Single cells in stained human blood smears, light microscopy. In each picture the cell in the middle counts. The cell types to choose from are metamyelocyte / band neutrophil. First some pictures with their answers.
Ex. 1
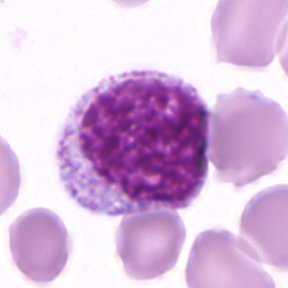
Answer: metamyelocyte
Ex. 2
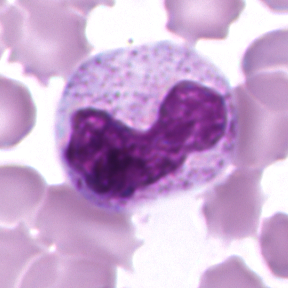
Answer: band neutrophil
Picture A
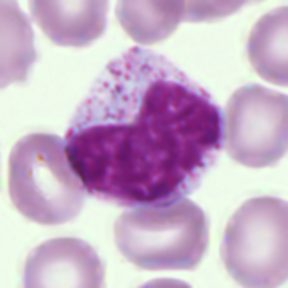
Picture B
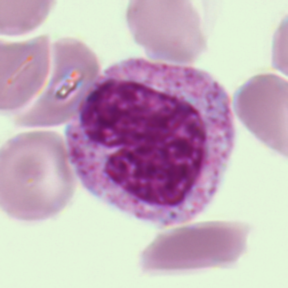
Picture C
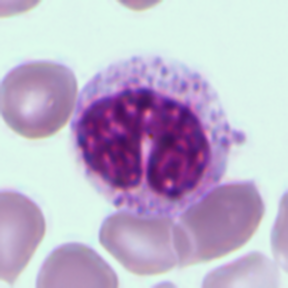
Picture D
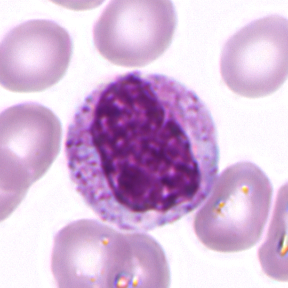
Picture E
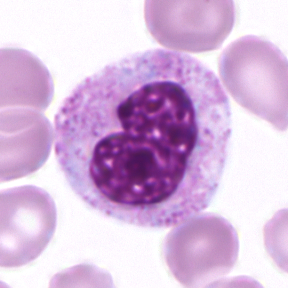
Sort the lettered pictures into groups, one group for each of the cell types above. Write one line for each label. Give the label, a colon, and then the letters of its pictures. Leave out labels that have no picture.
metamyelocyte: A, D
band neutrophil: B, C, E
